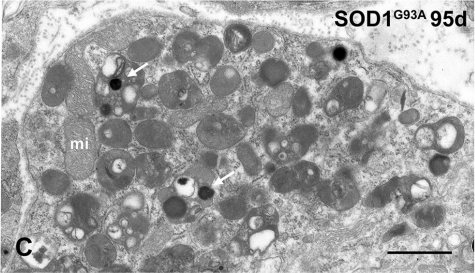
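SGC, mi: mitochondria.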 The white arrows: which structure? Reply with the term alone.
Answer: very electron-dense intralysosomal structures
